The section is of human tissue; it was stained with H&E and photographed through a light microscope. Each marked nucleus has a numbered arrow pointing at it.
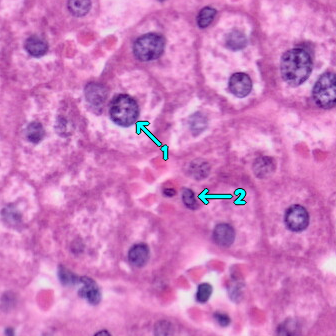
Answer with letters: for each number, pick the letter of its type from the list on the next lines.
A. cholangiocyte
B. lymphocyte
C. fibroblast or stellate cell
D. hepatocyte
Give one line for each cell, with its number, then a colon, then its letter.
1: D
2: C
